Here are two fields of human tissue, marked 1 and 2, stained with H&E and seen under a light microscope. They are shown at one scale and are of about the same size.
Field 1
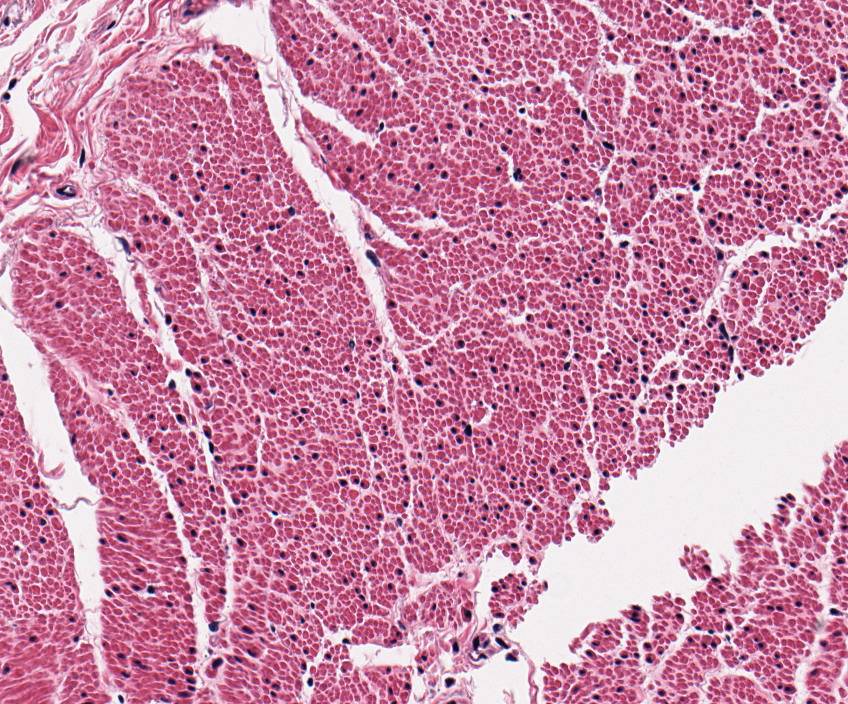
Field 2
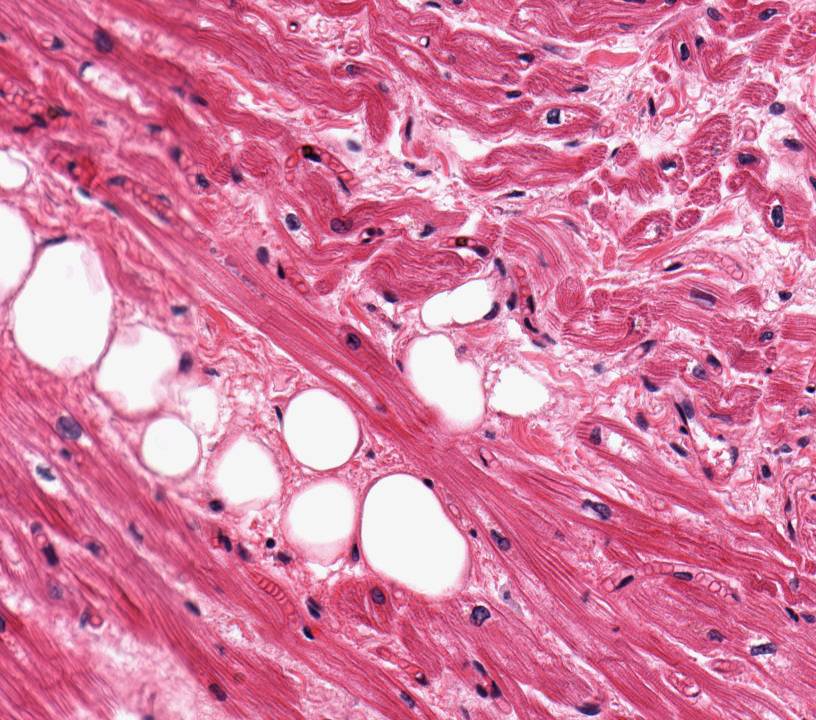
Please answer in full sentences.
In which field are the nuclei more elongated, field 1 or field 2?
On the whole the nuclei of field 2 are more drawn out than those of field 1.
